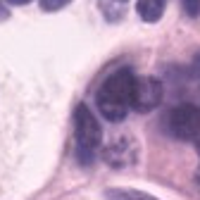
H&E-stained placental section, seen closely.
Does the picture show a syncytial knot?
Yes.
